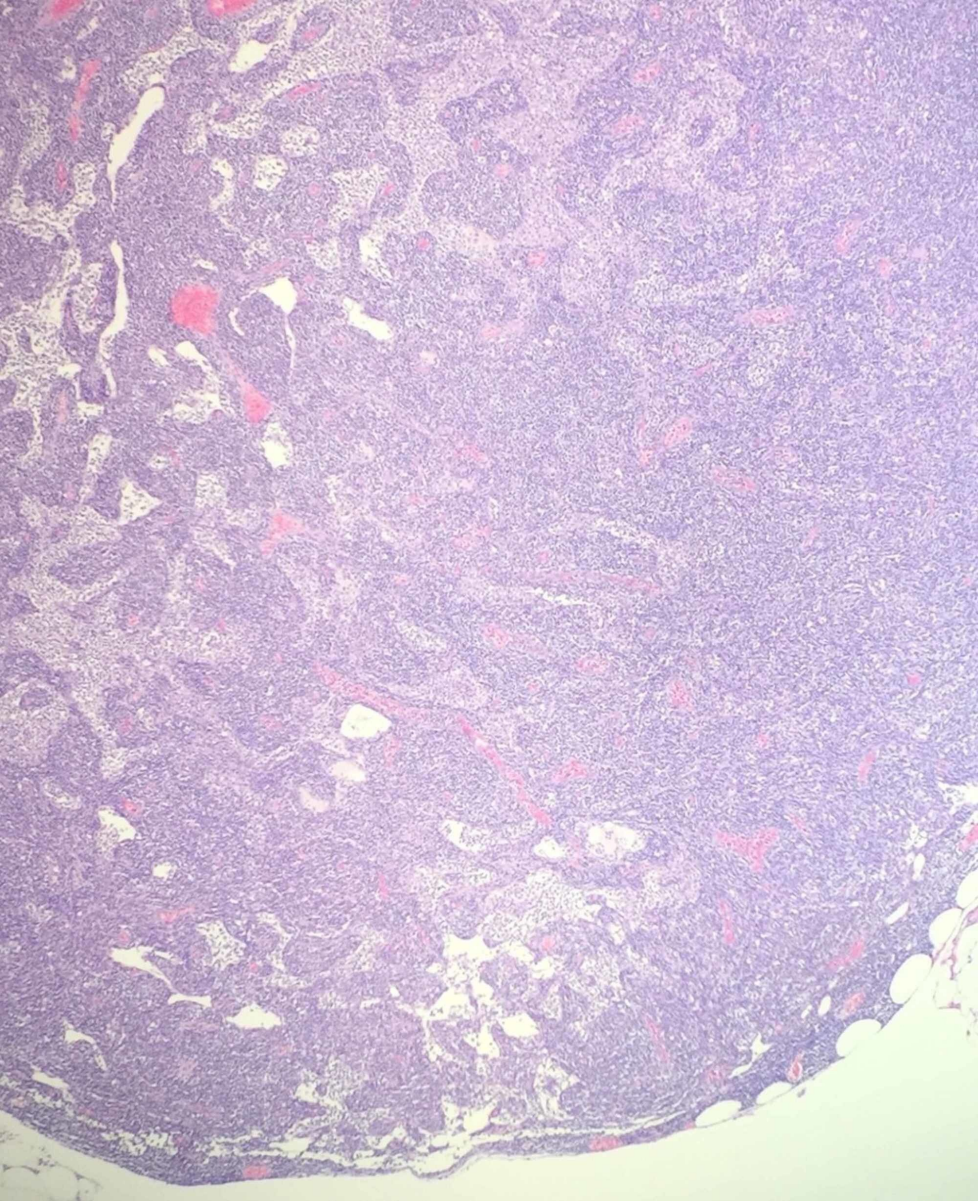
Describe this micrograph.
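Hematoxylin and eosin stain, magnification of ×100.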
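This is a lymph node at low power with its architecture effaced: densely packed small dark-blue cells fill the node in diffuse, vaguely nodular sheets, and no follicles with germinal centers are visible. Paler pink areas with open spaces and pink-red blood-filled vessels run between the dark cell masses. A thin capsule bounds the node at the bottom, with fat cells lying just outside it at lower right.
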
